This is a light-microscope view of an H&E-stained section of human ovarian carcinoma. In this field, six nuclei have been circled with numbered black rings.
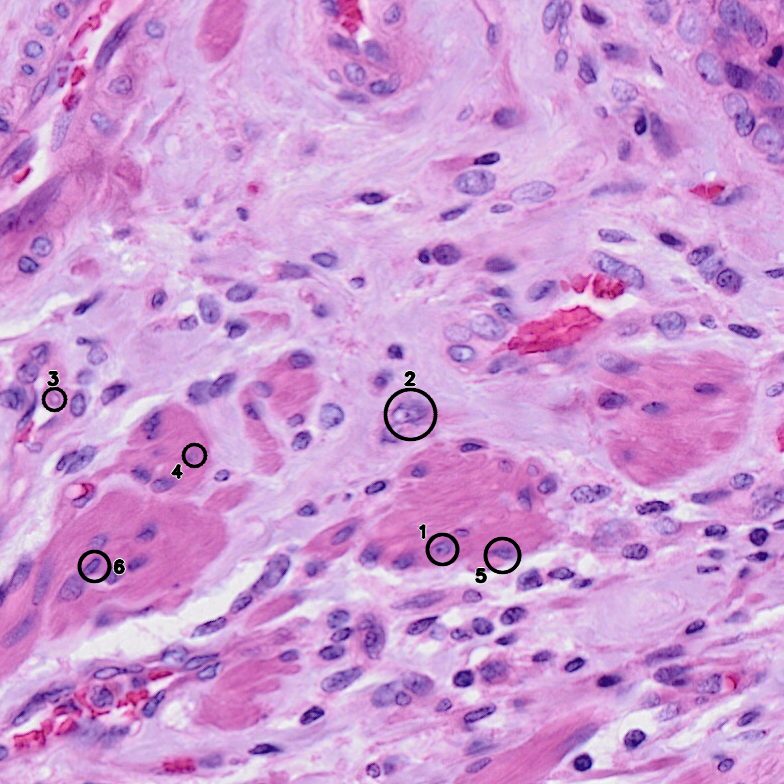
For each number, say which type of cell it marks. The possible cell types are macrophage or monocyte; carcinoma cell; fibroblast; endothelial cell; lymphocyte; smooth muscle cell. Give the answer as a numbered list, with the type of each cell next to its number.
1. smooth muscle cell
2. endothelial cell
3. endothelial cell
4. smooth muscle cell
5. smooth muscle cell
6. smooth muscle cell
